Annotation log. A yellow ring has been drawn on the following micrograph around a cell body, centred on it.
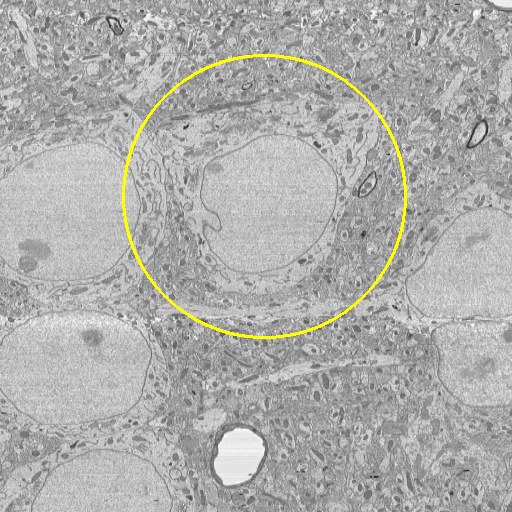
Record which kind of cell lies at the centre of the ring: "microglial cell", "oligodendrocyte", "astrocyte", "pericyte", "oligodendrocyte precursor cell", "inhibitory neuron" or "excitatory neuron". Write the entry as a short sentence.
The cell the ring is centred on is an excitatory neuron.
